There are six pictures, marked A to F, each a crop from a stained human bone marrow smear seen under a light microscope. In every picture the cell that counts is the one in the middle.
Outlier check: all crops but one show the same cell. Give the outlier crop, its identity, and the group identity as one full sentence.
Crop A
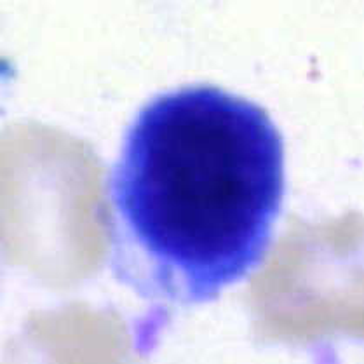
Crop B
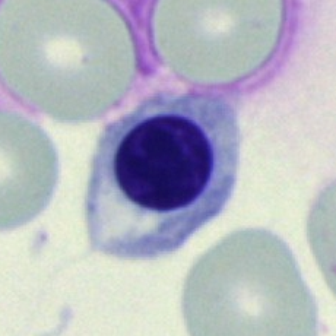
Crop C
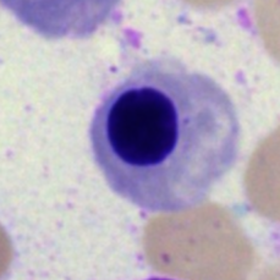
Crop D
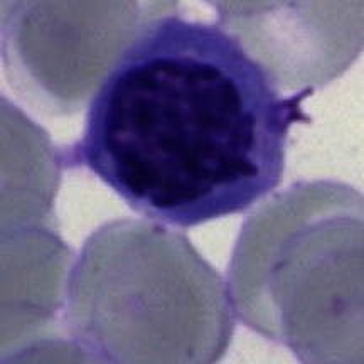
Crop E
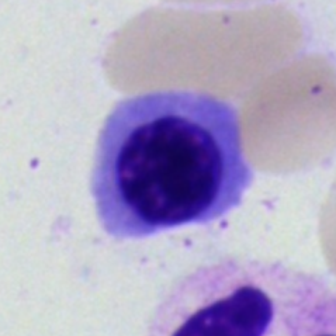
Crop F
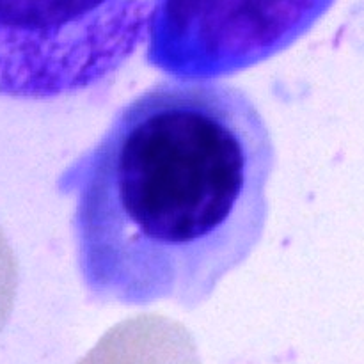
Here the outlier is crop A, which is a lymphocyte, and the rest are erythroblasts.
